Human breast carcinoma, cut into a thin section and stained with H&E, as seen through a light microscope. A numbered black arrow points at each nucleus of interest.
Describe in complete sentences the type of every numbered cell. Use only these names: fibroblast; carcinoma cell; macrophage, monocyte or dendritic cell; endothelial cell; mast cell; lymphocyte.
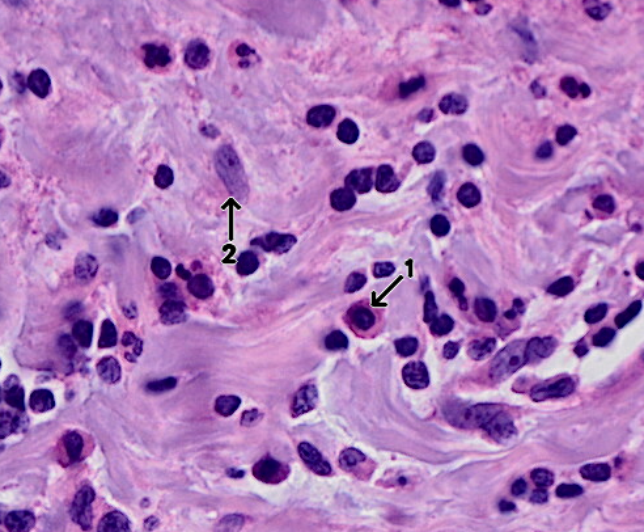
Cell 1 is a mast cell and cell 2 is a fibroblast.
